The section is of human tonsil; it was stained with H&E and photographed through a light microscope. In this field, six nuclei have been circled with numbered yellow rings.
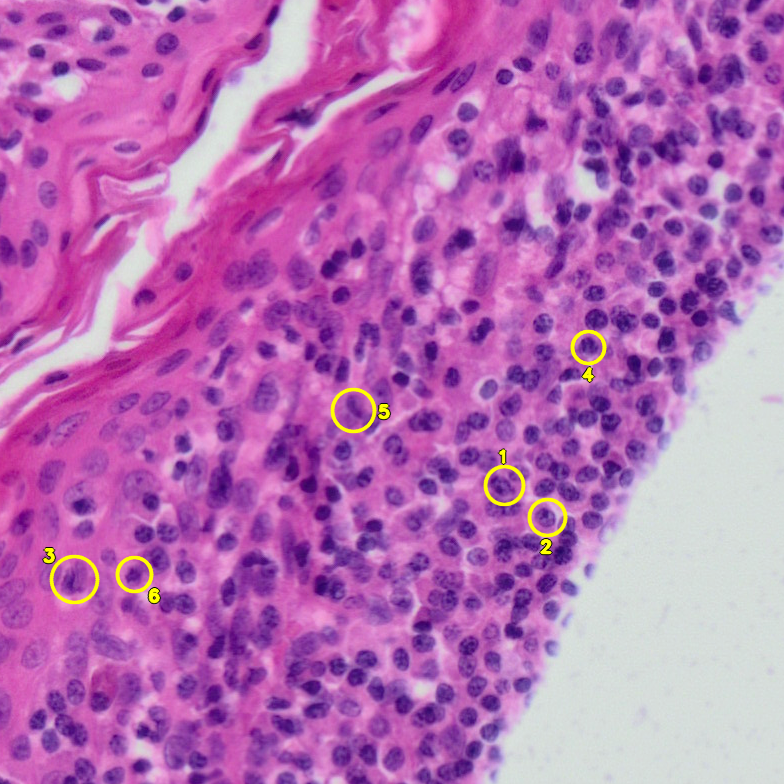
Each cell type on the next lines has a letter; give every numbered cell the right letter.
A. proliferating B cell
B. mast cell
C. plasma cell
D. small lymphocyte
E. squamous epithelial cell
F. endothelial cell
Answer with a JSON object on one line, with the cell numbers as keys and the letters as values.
{"1": "C", "2": "C", "3": "E", "4": "C", "5": "E", "6": "E"}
